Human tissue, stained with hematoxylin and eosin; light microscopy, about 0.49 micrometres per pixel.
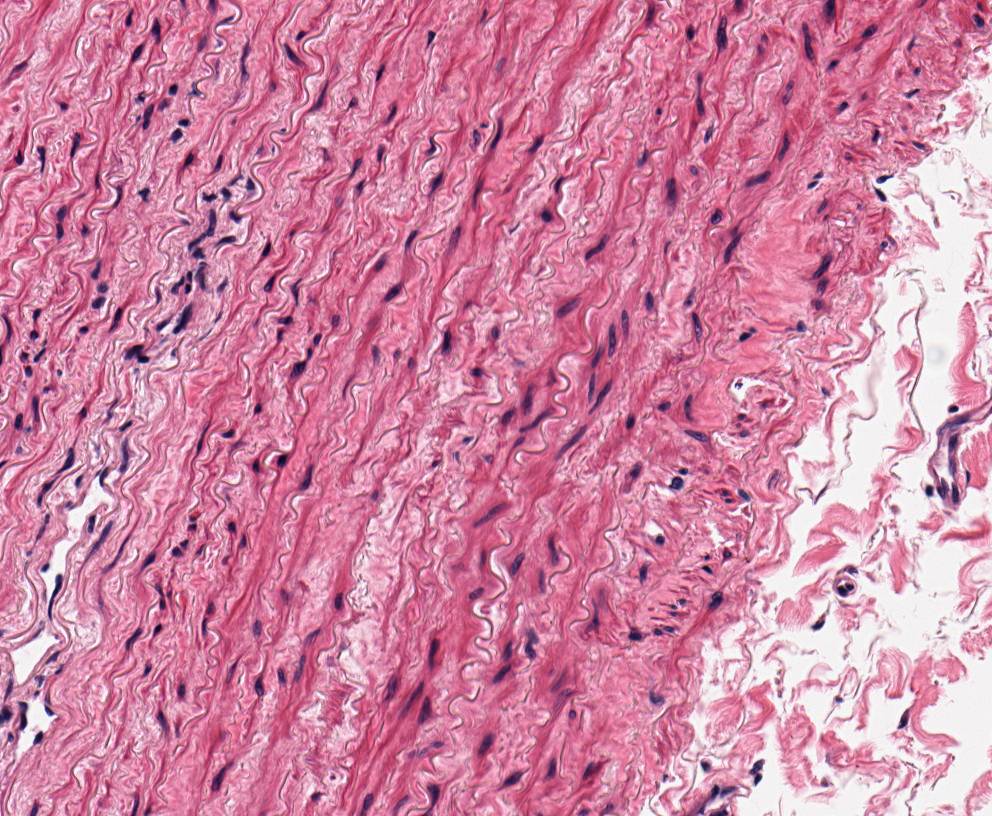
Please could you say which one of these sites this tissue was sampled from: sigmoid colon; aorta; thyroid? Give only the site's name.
aorta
